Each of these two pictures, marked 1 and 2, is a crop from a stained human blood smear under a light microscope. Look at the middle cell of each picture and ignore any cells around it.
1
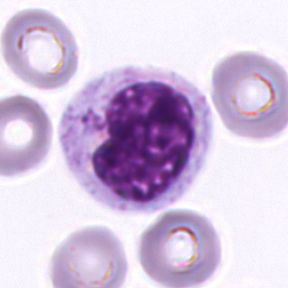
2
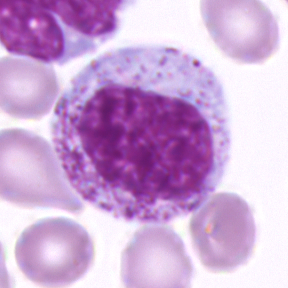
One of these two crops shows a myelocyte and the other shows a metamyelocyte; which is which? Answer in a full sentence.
Crop 1 depicts a metamyelocyte, and a myelocyte is depicted in crop 2.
